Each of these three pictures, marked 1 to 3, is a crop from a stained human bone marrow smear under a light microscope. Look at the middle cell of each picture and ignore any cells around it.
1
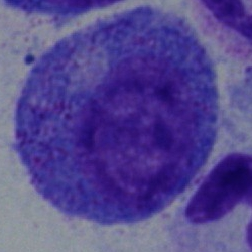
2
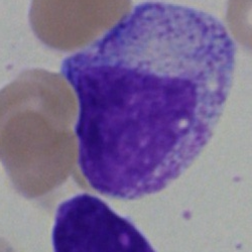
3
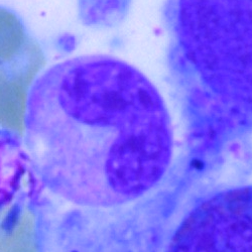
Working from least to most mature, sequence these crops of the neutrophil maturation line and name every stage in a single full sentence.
From earliest stage to latest stage, the sequence is crop 1 (a promyelocyte), crop 2 (a myelocyte) and crop 3 (a band neutrophil).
